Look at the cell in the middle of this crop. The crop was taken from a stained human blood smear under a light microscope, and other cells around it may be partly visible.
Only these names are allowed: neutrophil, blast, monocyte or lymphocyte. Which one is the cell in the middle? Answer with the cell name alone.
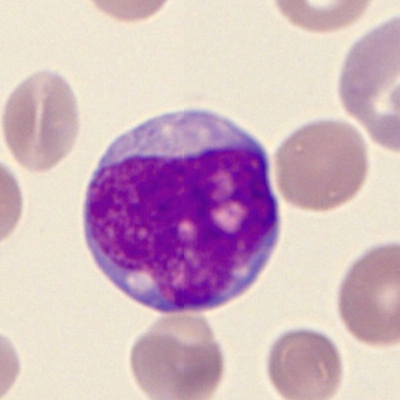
blast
